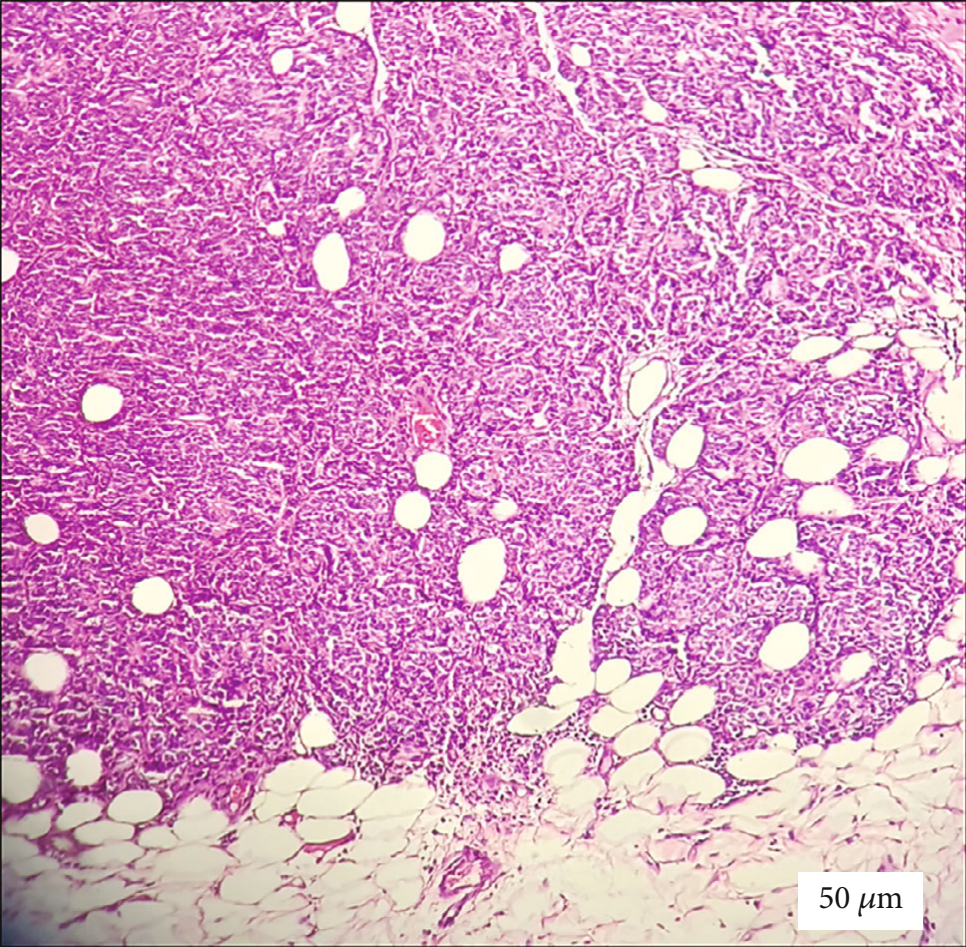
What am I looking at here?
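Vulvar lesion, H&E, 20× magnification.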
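Solid proliferation of atypical epithelial cells fills most of the field as a dense, deeply purple sheet. The cells are small to medium, crowded, with dark nuclei and scant pink cytoplasm. They are arranged in confluent nests and cords separated by thin, pale fibrous strands, with no orderly glandular or layered structure. Scattered round, empty fat cells are embedded within the cell mass. At the lower border and along the right side, the cellular sheet abuts and pushes into lobules of pale adipose tissue. A small vessel containing red blood cells lies near the centre.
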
